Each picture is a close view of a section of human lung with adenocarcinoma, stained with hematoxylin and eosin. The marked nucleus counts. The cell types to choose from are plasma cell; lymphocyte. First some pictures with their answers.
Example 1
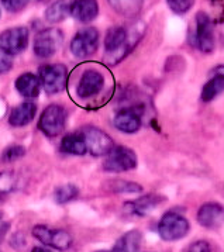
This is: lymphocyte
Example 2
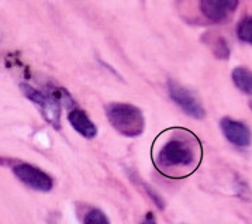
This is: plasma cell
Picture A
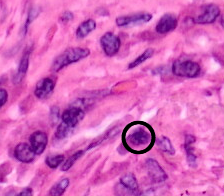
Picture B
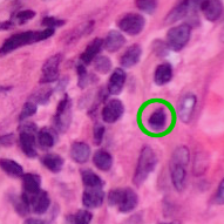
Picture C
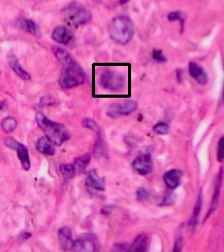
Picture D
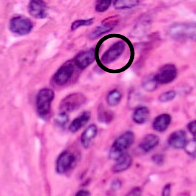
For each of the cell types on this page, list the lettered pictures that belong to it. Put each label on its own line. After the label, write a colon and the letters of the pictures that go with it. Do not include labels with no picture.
plasma cell: A, C, D
lymphocyte: B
